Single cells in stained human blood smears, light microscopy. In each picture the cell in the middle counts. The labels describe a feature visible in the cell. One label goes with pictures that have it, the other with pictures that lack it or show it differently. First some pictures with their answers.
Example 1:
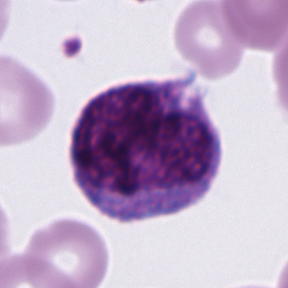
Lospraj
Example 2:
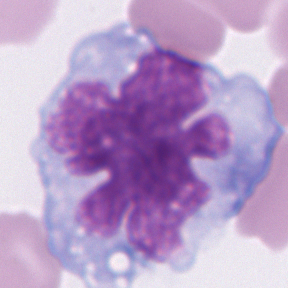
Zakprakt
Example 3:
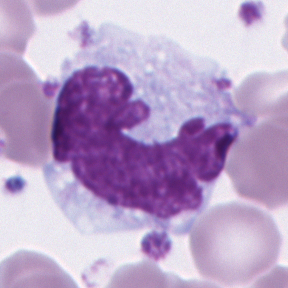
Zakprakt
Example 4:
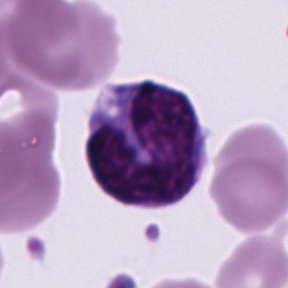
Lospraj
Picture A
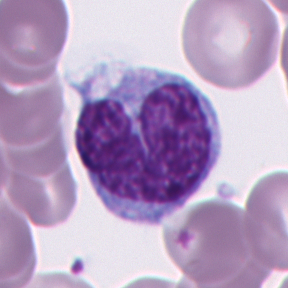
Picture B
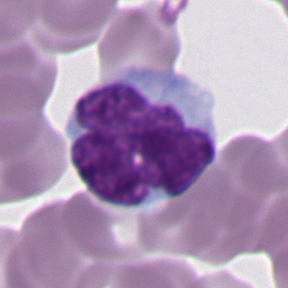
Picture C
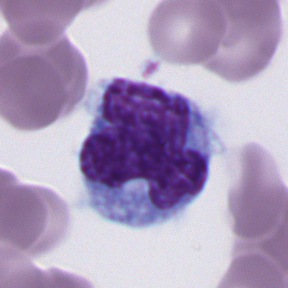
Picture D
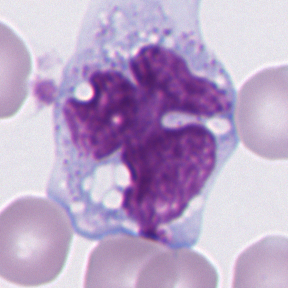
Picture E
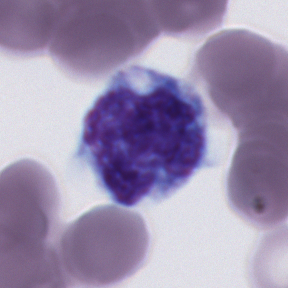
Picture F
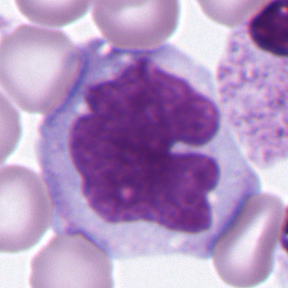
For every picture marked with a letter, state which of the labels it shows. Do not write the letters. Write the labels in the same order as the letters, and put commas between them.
Lospraj, Lospraj, Lospraj, Zakprakt, Lospraj, Zakprakt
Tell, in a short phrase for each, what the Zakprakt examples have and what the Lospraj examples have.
Zakprakt: abundant cytoplasm; Lospraj: scant cytoplasm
